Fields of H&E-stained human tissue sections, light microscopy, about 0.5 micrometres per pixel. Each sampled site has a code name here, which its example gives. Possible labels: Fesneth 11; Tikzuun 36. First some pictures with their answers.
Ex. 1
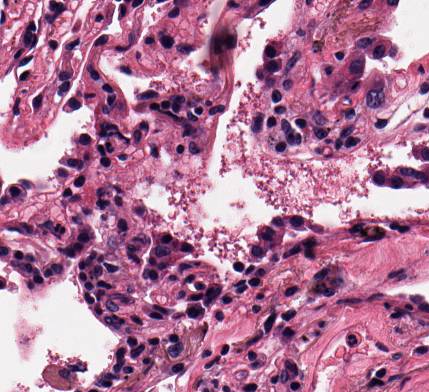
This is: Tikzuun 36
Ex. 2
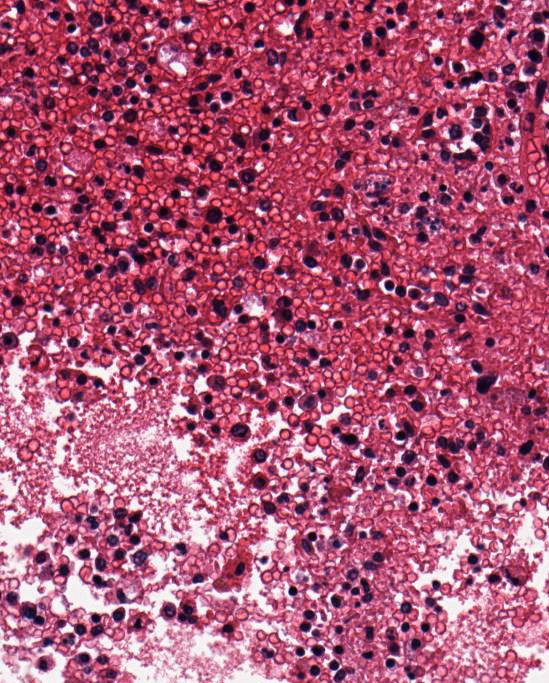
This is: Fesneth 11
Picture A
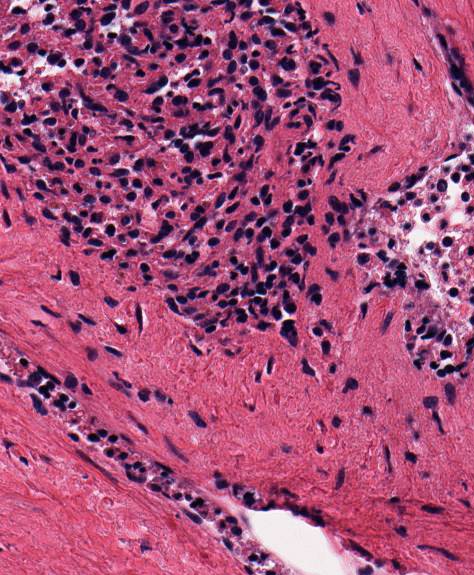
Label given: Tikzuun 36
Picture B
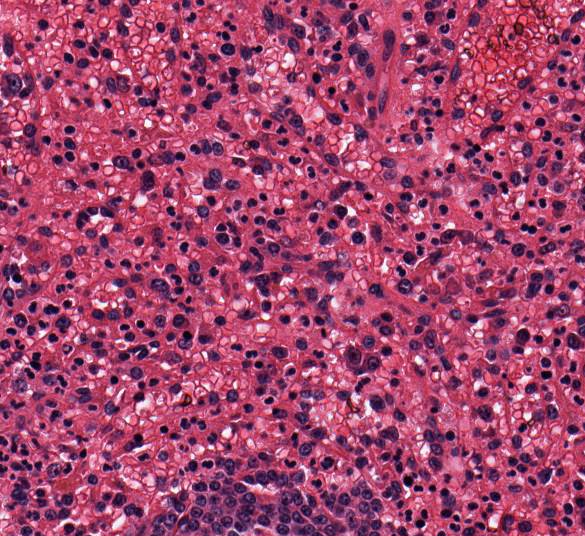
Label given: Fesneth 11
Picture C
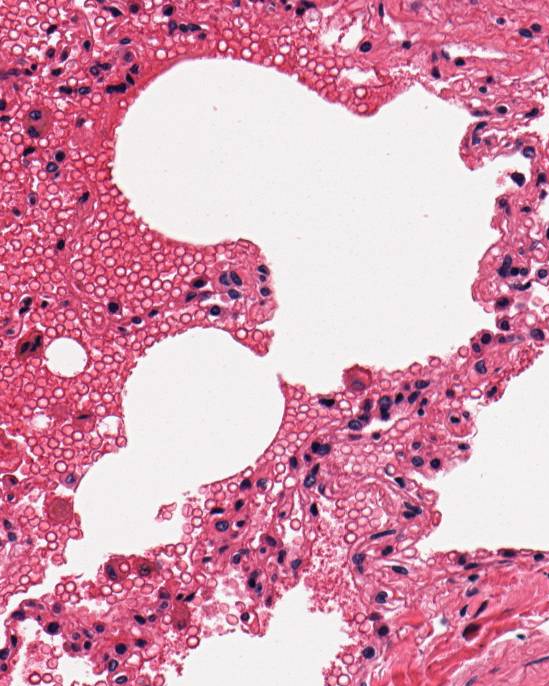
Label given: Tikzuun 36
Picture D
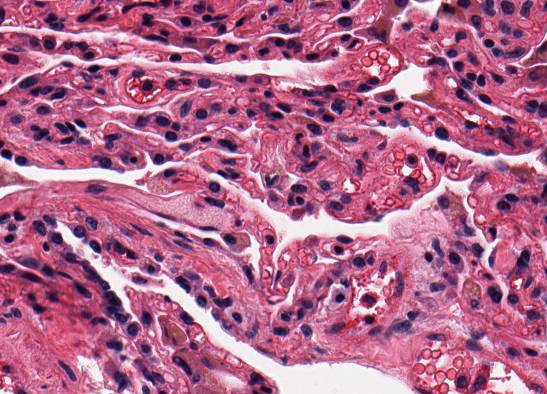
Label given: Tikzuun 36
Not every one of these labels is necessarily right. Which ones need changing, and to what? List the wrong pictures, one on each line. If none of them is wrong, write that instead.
A should be Fesneth 11, not Tikzuun 36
